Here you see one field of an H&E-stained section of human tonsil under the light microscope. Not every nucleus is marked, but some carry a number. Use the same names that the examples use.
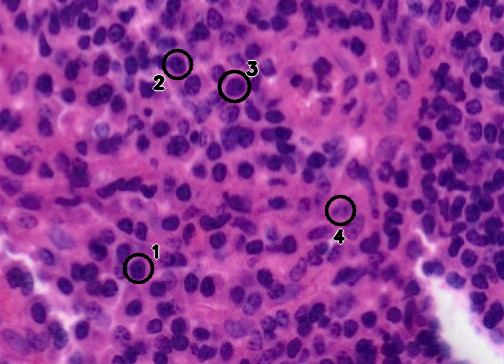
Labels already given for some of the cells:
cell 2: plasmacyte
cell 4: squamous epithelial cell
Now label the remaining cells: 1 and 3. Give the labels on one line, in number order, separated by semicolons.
plasmacyte; plasmacyte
